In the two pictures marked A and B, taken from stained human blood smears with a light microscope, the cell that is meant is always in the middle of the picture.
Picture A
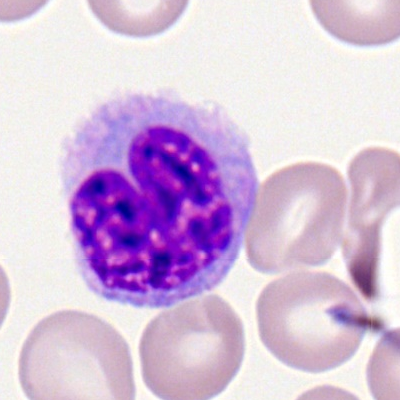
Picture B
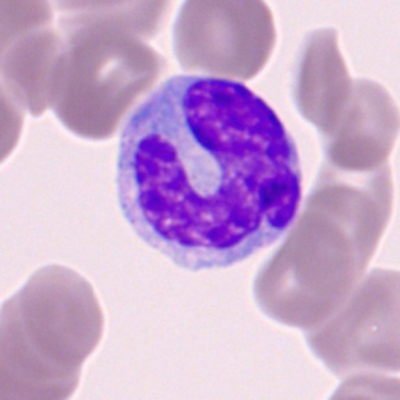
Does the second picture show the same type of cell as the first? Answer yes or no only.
yes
